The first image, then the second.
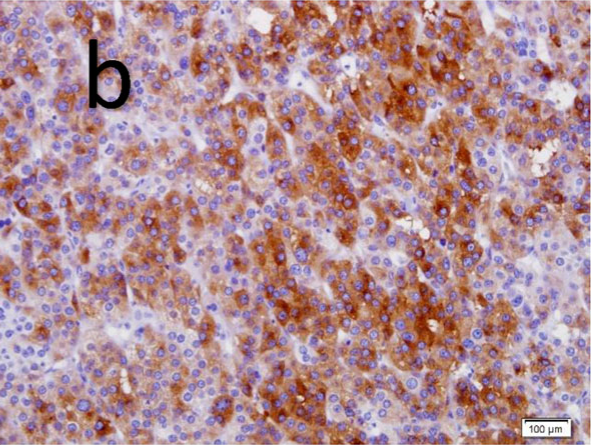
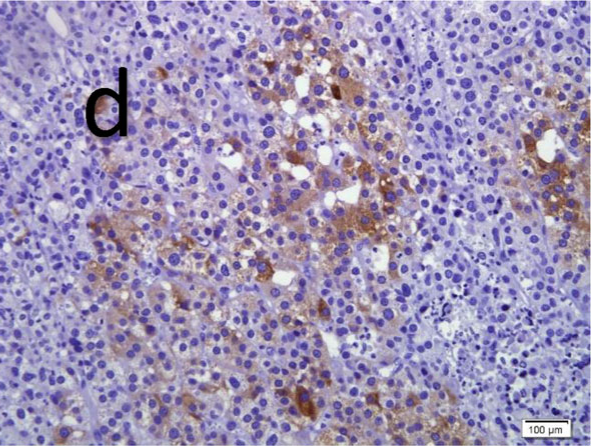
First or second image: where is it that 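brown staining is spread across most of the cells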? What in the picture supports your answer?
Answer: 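Second image: brown staining is confined to scattered cells and small patches. First image: brown cytoplasmic staining covers most cells across the field.
Conclusion: the first image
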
